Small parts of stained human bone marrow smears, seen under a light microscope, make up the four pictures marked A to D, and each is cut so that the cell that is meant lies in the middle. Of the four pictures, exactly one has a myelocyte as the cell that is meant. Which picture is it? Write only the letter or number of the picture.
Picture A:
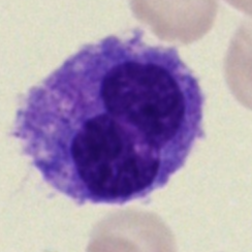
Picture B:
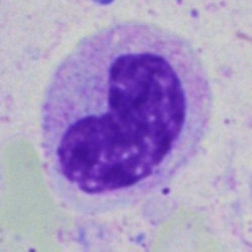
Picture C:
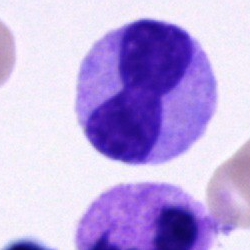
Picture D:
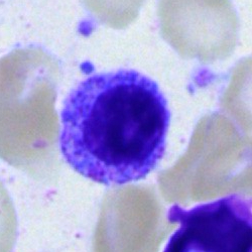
D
